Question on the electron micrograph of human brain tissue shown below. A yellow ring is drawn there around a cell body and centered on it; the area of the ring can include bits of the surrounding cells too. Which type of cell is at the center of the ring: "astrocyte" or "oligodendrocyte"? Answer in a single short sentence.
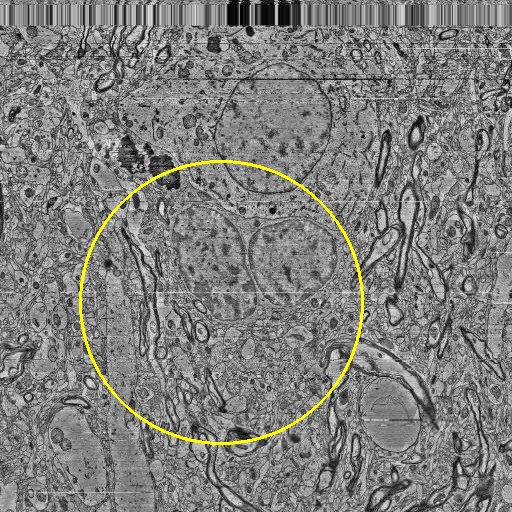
The ring is centered on an oligodendrocyte.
